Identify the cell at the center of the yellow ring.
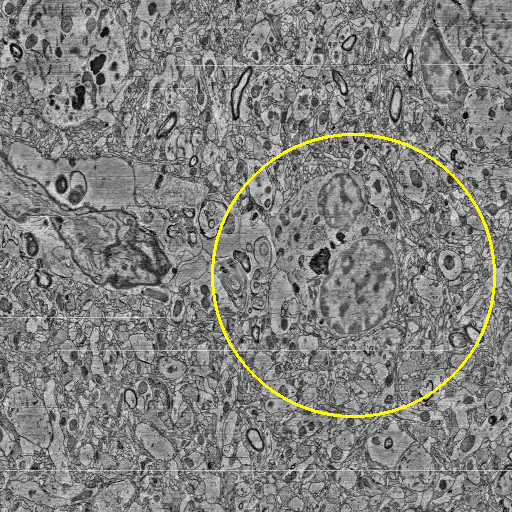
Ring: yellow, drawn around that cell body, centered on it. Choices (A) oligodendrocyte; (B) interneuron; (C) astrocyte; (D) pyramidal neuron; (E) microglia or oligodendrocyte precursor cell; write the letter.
A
